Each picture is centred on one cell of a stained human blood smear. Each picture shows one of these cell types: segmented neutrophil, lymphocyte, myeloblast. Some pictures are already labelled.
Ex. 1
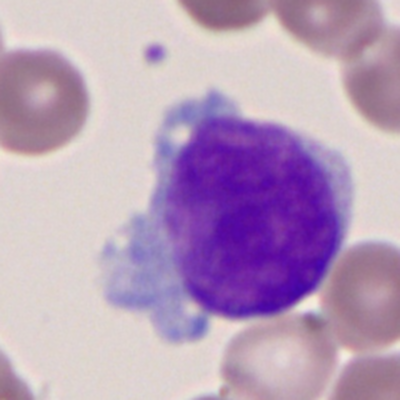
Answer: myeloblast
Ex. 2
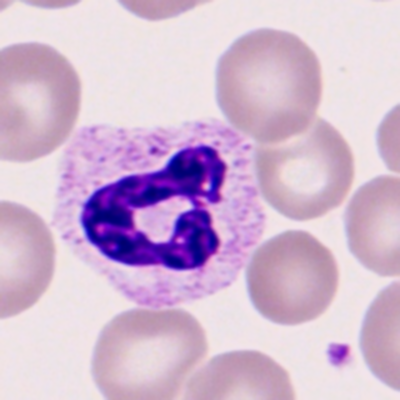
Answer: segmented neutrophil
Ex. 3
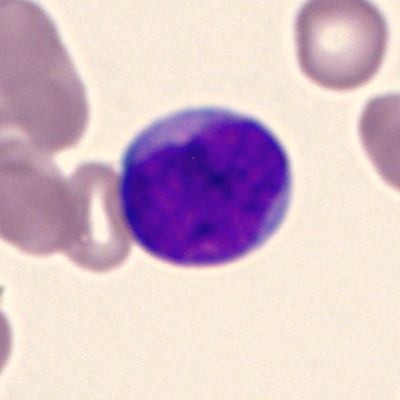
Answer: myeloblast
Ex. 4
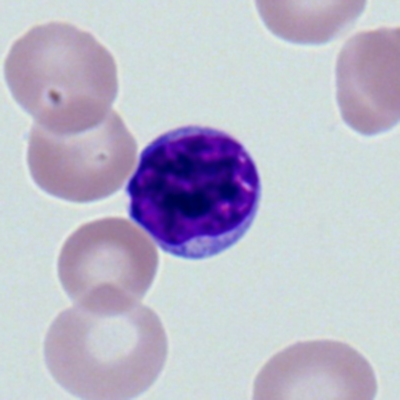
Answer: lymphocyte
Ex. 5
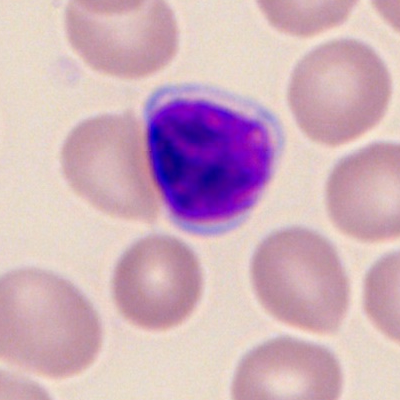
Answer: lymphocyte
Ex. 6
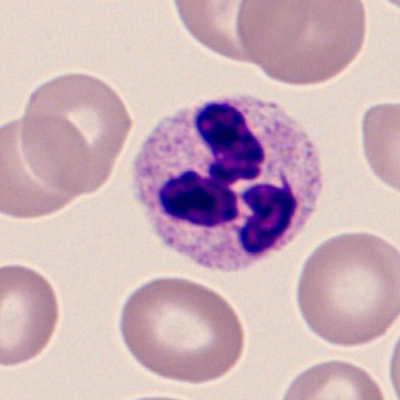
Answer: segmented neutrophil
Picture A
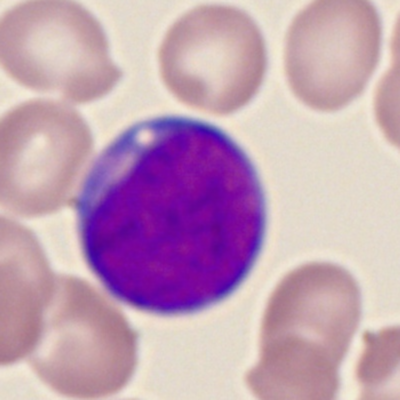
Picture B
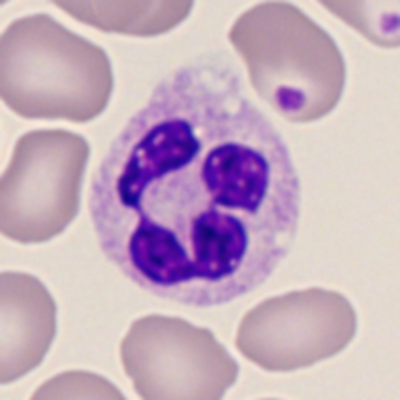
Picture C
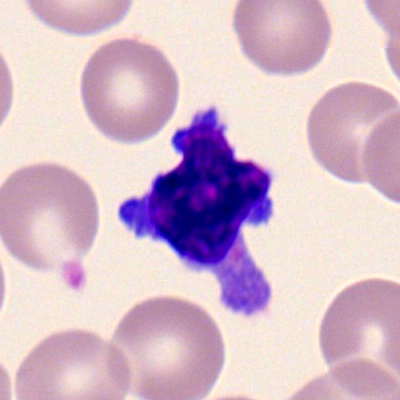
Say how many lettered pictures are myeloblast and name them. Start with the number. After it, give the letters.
Count: 1 (A)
